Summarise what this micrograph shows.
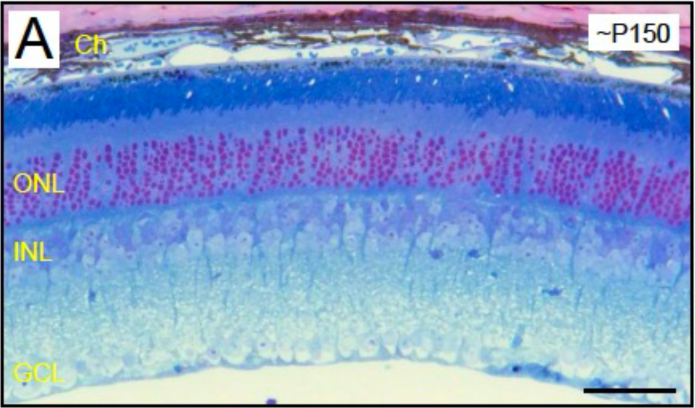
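This section of retina shows an orderly layered structure beneath a thin pigmented choroid. An even blue band of photoreceptor segments lies over the outer nuclear layer of densely packed, purple-stained nuclei, and below lie paler inner layers down to the ganglion cell layer at the inner surface.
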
